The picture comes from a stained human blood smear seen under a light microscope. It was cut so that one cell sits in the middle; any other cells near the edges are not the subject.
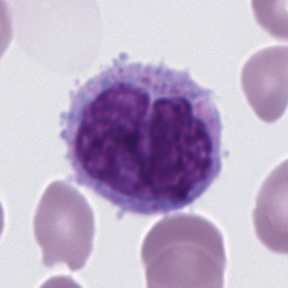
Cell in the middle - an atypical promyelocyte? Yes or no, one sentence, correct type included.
No, the central cell in this crop is a monocyte and not an atypical promyelocyte.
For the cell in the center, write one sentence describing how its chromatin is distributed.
Its chromatin is finely dispersed rather than coarsely clumped.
